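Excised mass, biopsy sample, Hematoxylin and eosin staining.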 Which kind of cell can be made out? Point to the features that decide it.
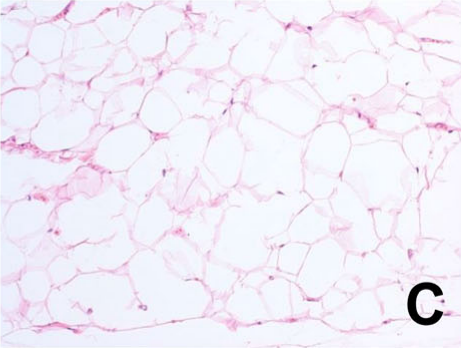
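Large polygonal cells with clear, empty-looking interiors. Thin pink membranes separate the cells in a chicken-wire pattern. Small flattened nuclei pressed to the cell edges. The answer: adipocytes.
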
